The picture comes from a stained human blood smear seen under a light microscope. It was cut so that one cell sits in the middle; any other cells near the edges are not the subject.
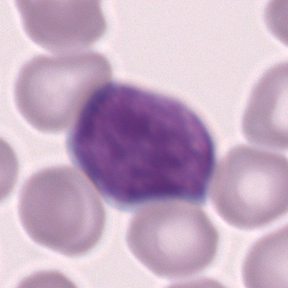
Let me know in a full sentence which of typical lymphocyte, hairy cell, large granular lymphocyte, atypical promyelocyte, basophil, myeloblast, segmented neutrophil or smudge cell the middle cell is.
Centrally within this crop lies a myeloblast.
